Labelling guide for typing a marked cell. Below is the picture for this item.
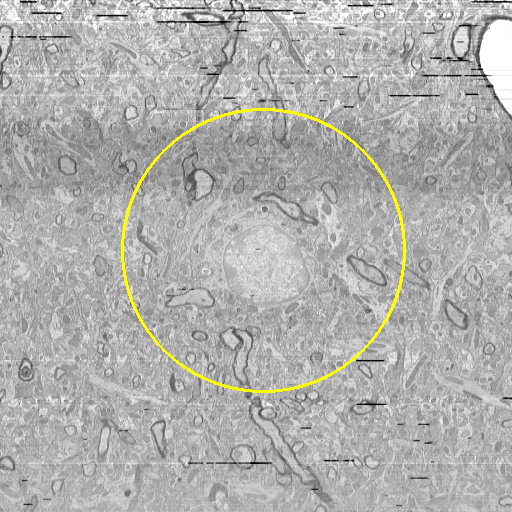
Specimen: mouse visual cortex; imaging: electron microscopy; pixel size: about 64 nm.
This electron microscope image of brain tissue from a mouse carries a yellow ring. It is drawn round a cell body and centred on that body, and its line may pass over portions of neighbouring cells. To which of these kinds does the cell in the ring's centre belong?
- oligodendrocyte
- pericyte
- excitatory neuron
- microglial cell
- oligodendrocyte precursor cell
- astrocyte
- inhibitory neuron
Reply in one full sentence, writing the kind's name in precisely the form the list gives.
Here we have an oligodendrocyte at the centre of the yellow ring in the picture.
